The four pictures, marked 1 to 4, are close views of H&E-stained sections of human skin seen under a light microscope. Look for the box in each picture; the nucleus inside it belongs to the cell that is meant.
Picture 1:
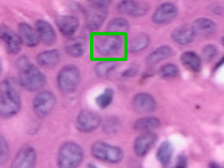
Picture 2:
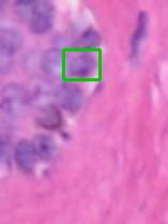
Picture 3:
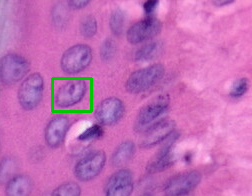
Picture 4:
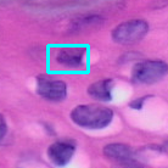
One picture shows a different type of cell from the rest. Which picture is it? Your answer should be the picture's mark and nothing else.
2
